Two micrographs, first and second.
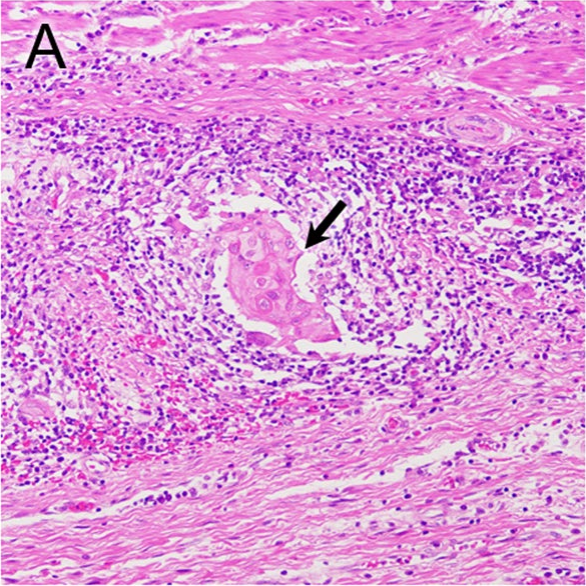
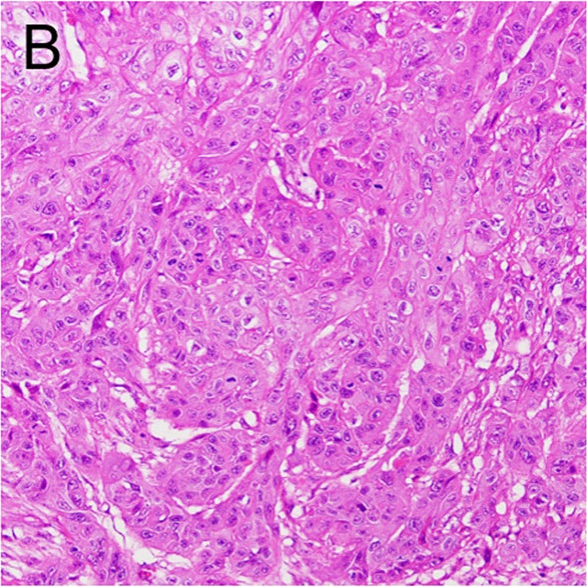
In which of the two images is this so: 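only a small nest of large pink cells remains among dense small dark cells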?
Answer: The first image.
